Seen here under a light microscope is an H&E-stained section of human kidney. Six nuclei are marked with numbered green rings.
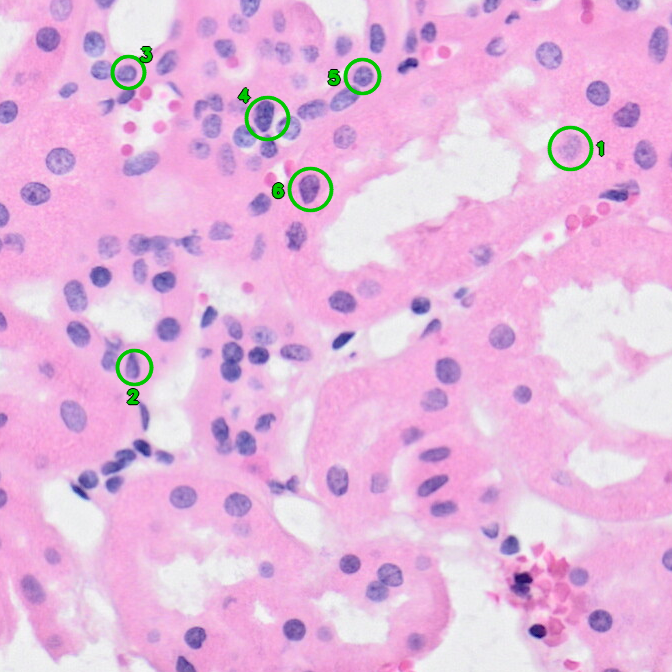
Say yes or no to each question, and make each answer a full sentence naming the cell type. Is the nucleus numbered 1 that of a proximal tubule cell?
Yes, regarding cell number 1, it is a proximal tubule cell.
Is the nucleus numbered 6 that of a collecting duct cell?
No, the marked cell 6 is not a collecting duct cell, being instead a proximal tubule cell.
